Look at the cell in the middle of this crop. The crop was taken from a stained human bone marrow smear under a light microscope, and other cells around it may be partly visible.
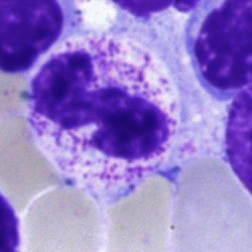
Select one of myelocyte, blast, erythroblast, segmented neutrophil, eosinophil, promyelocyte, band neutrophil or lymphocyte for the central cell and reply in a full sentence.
The cell nearest the centre of this crop is a segmented neutrophil.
